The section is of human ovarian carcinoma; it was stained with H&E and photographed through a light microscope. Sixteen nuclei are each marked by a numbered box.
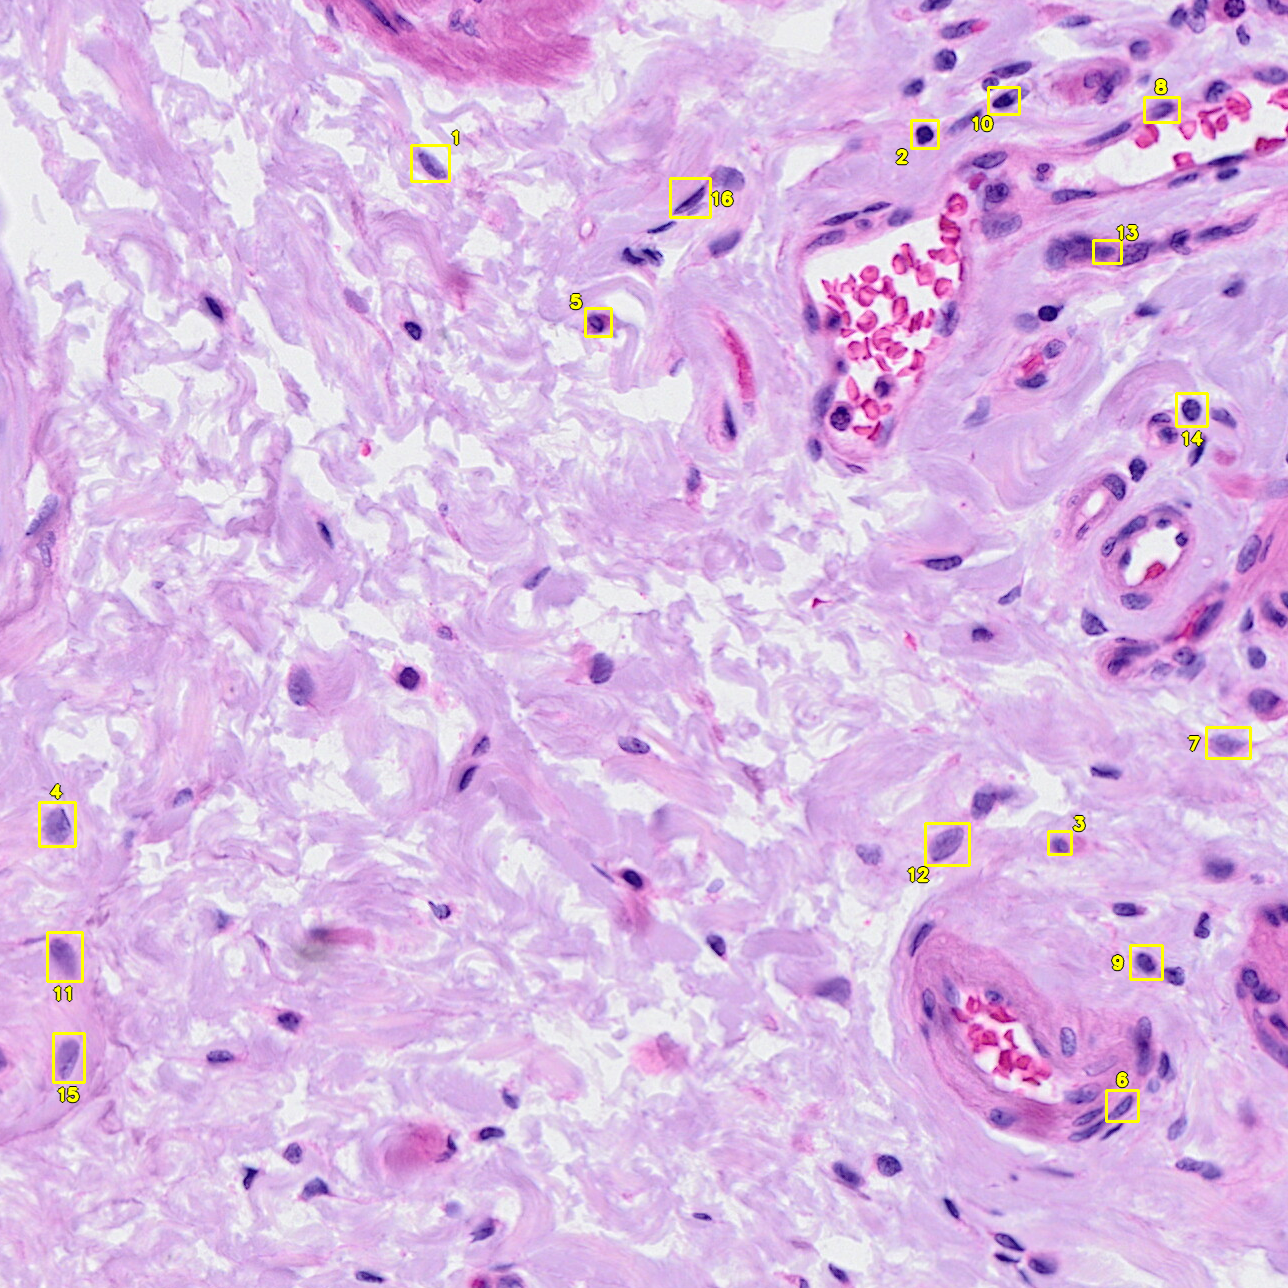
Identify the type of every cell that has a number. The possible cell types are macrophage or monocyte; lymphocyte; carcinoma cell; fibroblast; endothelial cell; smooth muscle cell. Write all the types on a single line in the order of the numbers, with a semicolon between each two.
fibroblast; lymphocyte; smooth muscle cell; fibroblast; macrophage or monocyte; smooth muscle cell; fibroblast; endothelial cell; lymphocyte; lymphocyte; fibroblast; fibroblast; endothelial cell; lymphocyte; fibroblast; fibroblast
